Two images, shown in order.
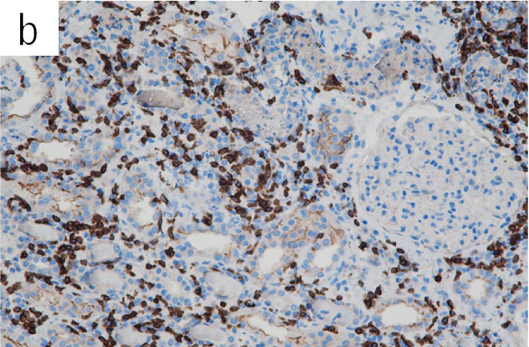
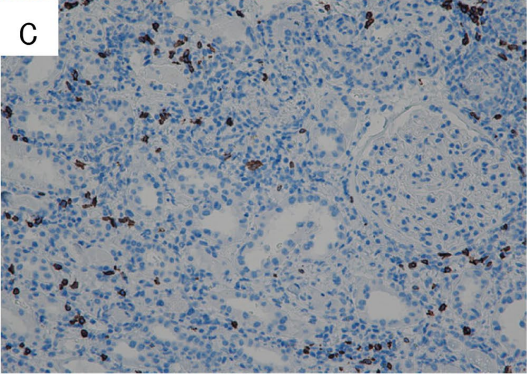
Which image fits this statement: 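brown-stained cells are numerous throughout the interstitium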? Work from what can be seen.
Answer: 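Second image: only scattered single brown cells between tubules. First image: dense sheets of brown cells fill the spaces between tubules. The answer: the first image.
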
